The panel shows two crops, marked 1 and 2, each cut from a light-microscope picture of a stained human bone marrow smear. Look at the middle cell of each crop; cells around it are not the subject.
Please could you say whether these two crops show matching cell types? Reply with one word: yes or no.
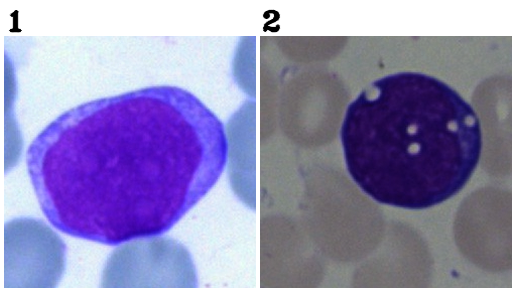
yes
